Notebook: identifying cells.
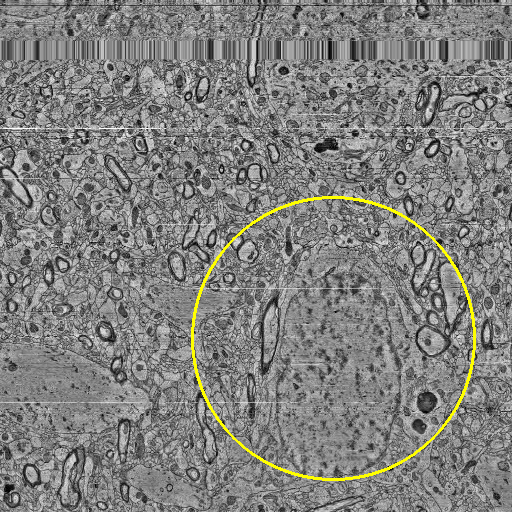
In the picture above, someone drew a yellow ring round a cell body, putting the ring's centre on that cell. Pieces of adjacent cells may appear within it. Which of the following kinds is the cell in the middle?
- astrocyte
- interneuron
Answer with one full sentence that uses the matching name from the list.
In this picture, the yellow ring is centred on the body of an interneuron.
